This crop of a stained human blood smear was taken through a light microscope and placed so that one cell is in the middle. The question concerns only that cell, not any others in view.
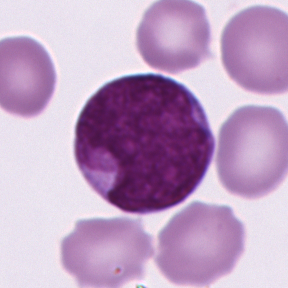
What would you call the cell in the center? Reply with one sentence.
Located at the centre of the crop is a myeloblast.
